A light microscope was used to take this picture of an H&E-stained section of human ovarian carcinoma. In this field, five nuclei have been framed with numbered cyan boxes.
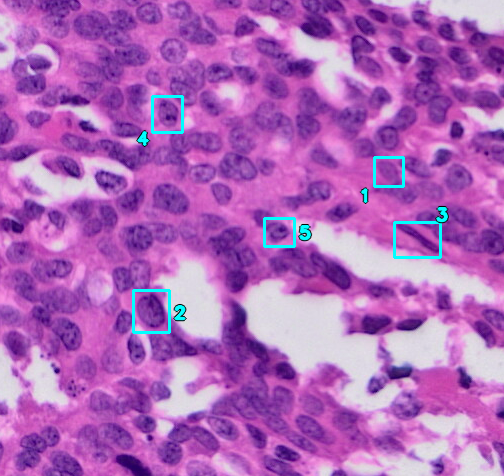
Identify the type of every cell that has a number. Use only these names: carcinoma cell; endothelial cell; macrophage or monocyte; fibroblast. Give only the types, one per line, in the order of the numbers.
carcinoma cell
carcinoma cell
fibroblast
macrophage or monocyte
macrophage or monocyte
